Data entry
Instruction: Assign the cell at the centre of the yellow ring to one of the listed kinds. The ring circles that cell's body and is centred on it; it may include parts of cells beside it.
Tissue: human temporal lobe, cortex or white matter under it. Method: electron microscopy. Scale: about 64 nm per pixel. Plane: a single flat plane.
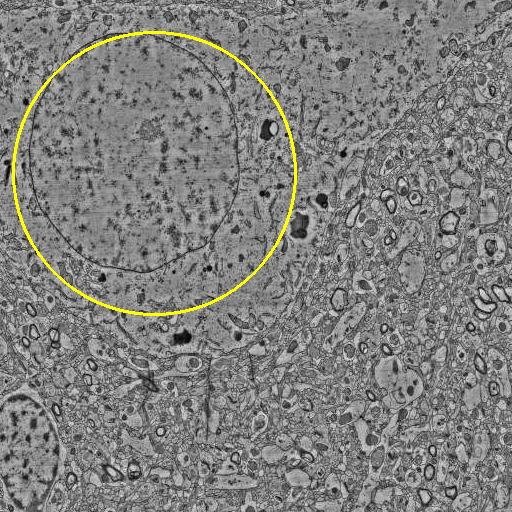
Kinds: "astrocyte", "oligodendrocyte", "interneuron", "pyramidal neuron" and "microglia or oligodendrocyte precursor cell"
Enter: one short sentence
The centre of the ring falls on a pyramidal neuron.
